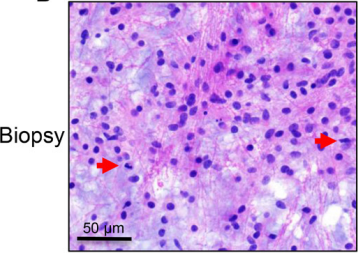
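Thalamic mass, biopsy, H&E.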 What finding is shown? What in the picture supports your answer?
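The cells lie in a pale, bubbly, loose background with faint blue-grey tint. Pink fibrillary strands cross the pale matrix. The answer: myxoid background.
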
